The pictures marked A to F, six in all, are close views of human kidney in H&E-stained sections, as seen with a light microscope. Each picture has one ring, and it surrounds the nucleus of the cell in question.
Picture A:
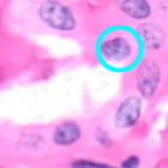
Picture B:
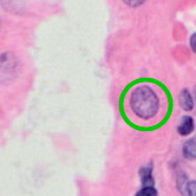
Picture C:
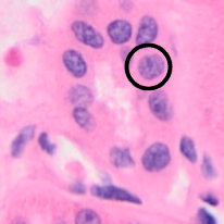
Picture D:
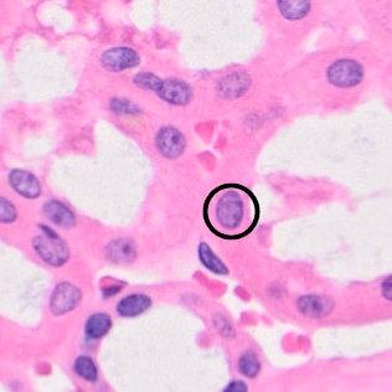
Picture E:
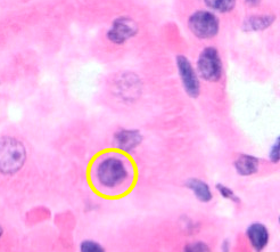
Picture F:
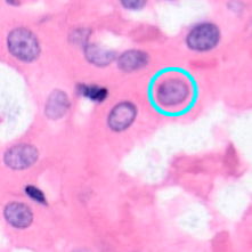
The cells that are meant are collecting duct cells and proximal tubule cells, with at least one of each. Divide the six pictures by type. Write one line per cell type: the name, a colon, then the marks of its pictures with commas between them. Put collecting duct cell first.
collecting duct cell: A, C
proximal tubule cell: B, D, E, F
